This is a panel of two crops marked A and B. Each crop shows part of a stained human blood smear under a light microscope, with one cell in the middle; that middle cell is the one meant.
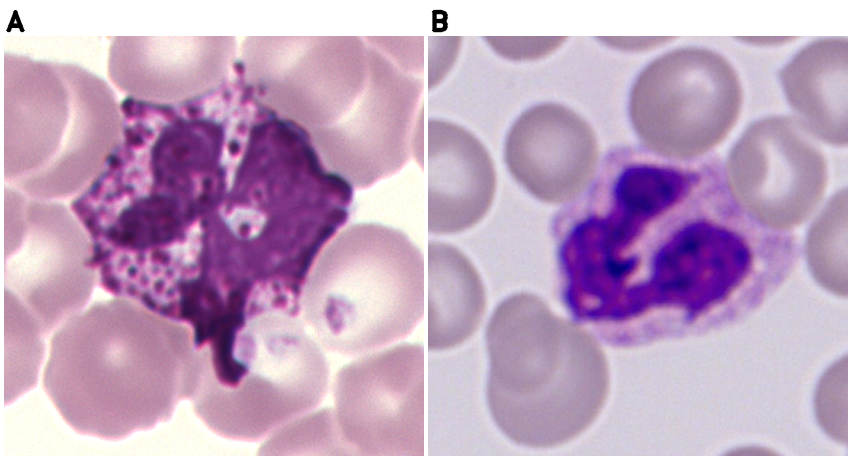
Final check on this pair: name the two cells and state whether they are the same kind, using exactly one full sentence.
Yes, in the two crops, basophils are the cells at the centre.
